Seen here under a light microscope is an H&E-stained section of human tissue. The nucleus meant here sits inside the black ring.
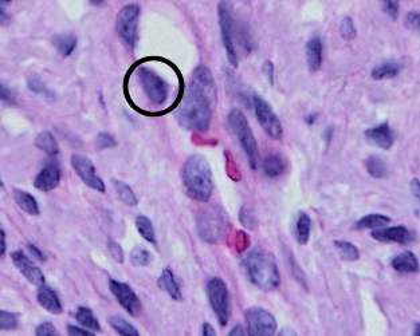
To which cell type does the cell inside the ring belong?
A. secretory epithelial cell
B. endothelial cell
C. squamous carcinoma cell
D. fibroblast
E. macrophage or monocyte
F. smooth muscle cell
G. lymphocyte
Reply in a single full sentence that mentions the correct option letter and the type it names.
As the cell inside the ring is an endothelial cell, the correct choice is option B.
